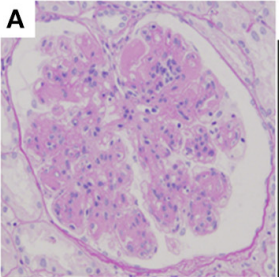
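A single glomerulus with a markedly lobulated tuft, sitting inside a thin magenta-outlined Bowman's capsule. The lobules are crowded with dark blue nuclei, showing increased cellularity in the mesangial and capillary areas with few open capillary lumens. The capillary walls appear thickened and pink-magenta. Tubules with pale cytoplasm lie around the capsule.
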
